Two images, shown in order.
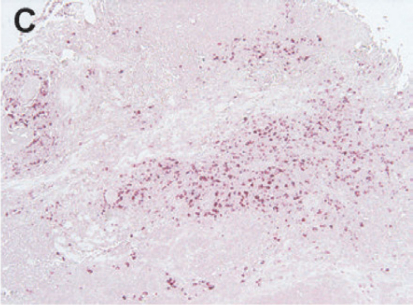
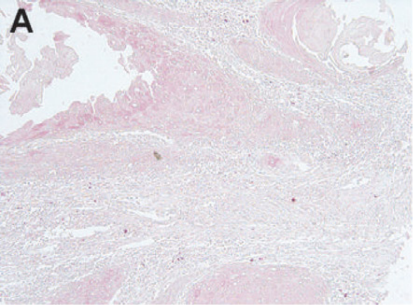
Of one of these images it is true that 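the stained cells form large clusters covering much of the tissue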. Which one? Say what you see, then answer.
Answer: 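First image: many red-stained cells crowd together in broad bands across the core. Second image: red-stained cells are hardly seen, only isolated single dots.
Answer: the first image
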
